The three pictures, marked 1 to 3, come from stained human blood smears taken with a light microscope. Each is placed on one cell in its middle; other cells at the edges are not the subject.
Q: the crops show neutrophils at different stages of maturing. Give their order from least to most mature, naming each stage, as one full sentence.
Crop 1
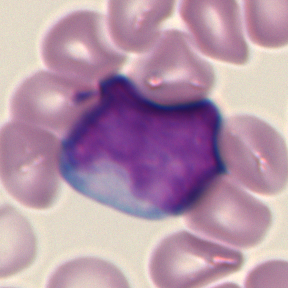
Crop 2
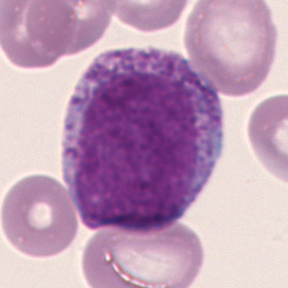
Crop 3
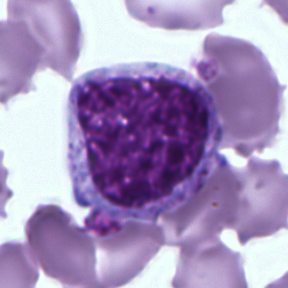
Least mature first and most mature last, the order is crop 1 (a myeloblast), crop 2 (a promyelocyte) and crop 3 (a myelocyte).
